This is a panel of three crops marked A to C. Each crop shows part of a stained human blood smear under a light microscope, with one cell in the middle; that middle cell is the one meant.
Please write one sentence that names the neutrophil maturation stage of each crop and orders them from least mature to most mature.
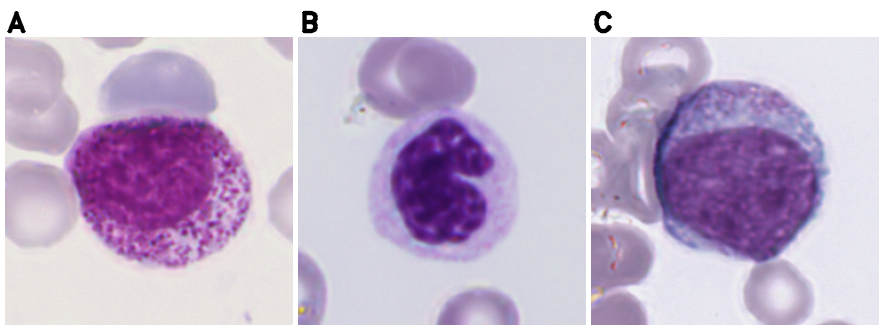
By increasing maturity, the cells should be ordered crop C (a promyelocyte), crop A (a myelocyte) and crop B (a band neutrophil).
